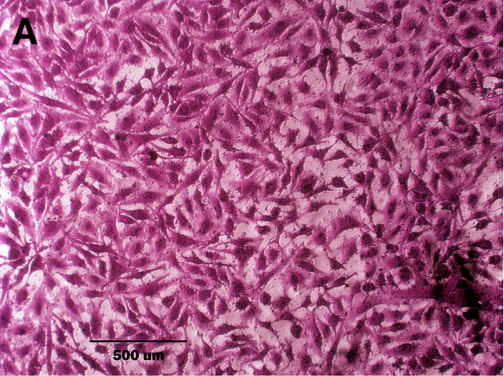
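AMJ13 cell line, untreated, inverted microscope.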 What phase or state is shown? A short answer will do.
multipolar elongated epithelial-like shape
